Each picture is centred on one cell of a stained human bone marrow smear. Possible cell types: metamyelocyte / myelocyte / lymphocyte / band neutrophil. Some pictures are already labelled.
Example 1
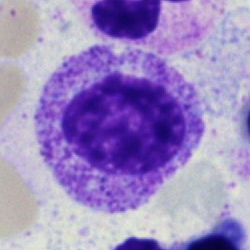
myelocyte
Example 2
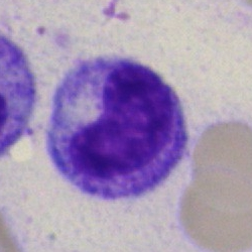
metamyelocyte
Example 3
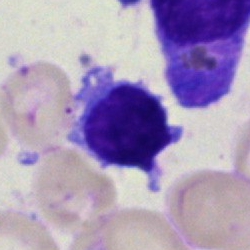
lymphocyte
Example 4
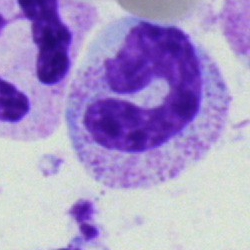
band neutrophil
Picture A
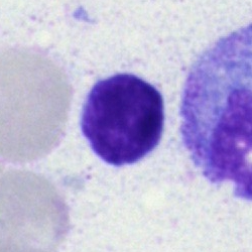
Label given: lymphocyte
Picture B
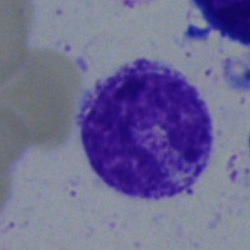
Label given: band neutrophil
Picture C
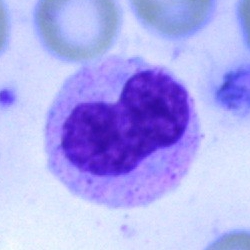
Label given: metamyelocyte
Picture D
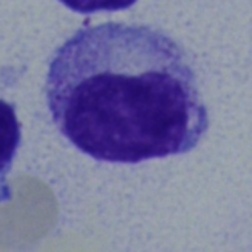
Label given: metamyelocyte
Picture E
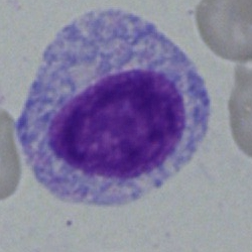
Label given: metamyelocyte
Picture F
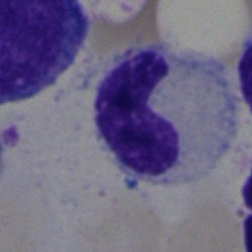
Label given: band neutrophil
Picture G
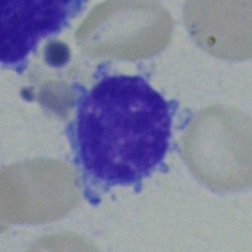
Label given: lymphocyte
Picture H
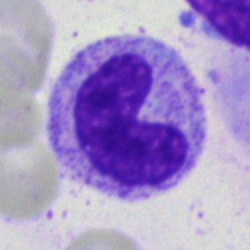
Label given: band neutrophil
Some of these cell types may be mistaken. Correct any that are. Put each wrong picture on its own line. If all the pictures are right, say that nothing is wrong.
E should be myelocyte, not metamyelocyte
